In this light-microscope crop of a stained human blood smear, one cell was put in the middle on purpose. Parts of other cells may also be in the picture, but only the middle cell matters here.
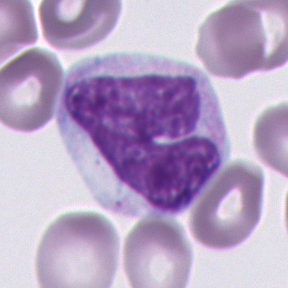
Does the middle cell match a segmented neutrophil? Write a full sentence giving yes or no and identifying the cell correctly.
No, the cell of interest here is a band neutrophil and not a segmented neutrophil.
